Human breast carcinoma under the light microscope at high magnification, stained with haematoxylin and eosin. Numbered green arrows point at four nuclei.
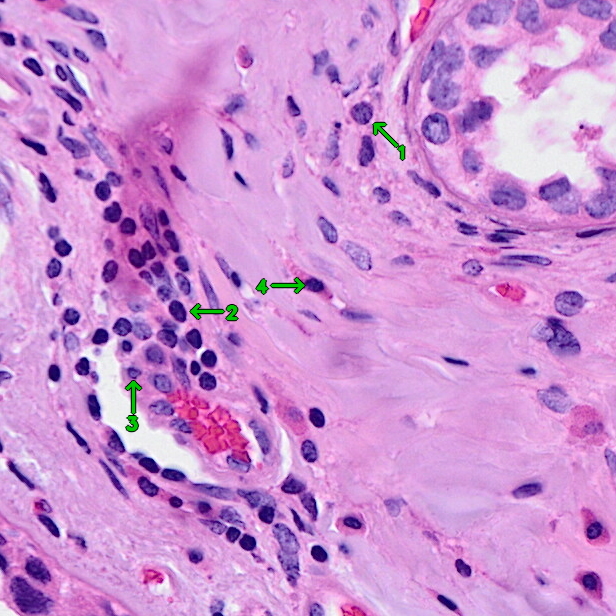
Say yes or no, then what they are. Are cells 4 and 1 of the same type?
No, cell 1 is a macrophage, monocyte or dendritic cell, but cell 4 is a mast cell.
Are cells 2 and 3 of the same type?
No, cell 3 is an endothelial cell, whereas cell 2 is a lymphocyte.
